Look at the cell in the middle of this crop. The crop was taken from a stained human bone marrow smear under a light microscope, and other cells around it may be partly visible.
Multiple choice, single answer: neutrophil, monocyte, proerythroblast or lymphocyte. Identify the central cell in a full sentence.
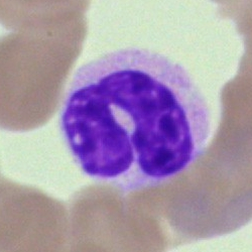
The cell the crop is centered on is a neutrophil.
